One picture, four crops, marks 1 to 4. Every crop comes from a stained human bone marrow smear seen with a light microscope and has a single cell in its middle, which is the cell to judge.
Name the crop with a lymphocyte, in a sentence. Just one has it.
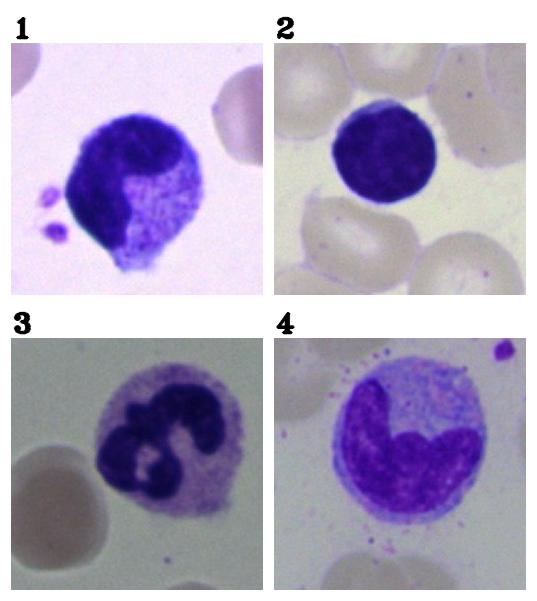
The crop carrying a lymphocyte at the center is crop 2.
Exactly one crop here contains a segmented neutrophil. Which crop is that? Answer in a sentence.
Look at crop 3; that is the one with a segmented neutrophil in its center.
